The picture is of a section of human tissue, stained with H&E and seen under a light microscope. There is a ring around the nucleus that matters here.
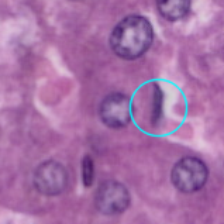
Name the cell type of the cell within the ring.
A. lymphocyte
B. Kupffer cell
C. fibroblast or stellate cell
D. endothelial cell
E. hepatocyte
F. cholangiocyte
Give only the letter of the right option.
D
